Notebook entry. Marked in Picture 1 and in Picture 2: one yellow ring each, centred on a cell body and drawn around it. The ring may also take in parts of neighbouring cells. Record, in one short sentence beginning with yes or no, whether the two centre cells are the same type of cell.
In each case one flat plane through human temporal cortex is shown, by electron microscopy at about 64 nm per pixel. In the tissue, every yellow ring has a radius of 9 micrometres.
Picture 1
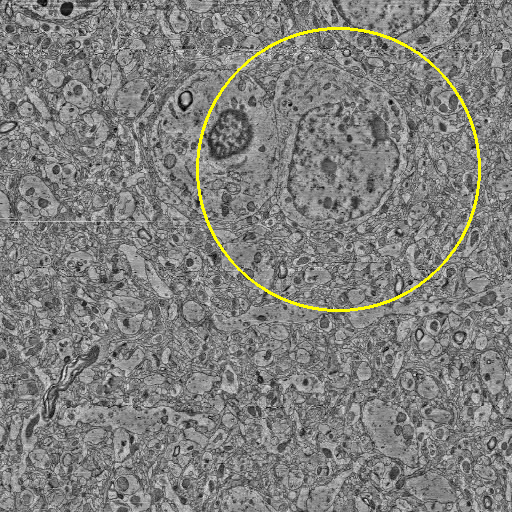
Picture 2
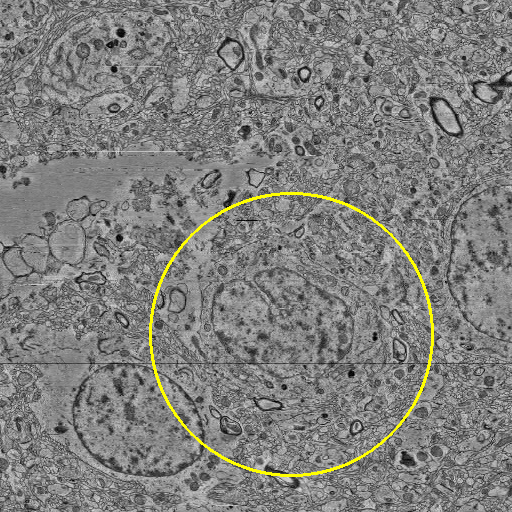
Yes, both are the same type of cell.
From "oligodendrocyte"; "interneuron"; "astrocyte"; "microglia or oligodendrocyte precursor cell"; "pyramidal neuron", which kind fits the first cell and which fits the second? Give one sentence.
Each of the two pictures has an interneuron at the ring centre.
